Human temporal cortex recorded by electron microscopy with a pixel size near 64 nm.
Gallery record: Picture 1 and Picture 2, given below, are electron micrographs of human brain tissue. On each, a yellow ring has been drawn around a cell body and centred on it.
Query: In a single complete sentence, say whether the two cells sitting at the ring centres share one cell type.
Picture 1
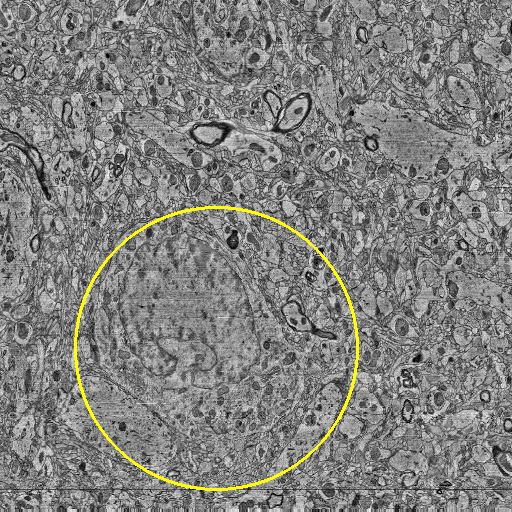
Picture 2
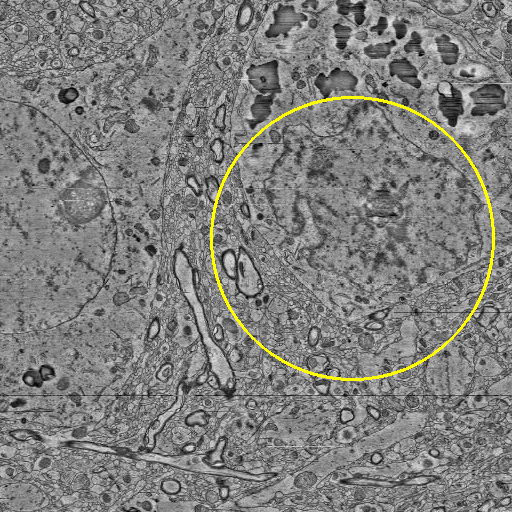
Yes, in both pictures the cell at the ring's centre is of one and the same type.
